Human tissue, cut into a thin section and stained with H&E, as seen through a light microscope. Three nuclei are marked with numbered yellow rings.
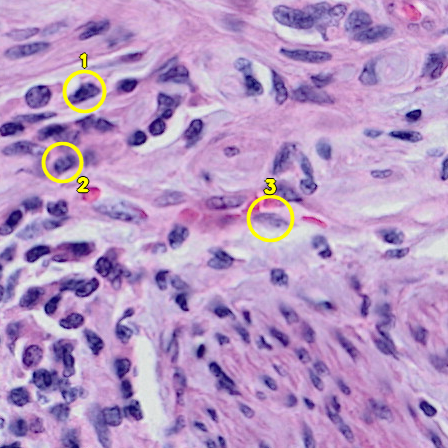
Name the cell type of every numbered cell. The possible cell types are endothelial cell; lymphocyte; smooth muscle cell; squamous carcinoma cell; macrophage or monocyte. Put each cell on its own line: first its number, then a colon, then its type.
1: lymphocyte
2: lymphocyte
3: endothelial cell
